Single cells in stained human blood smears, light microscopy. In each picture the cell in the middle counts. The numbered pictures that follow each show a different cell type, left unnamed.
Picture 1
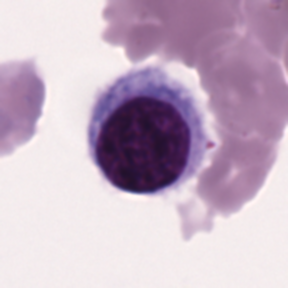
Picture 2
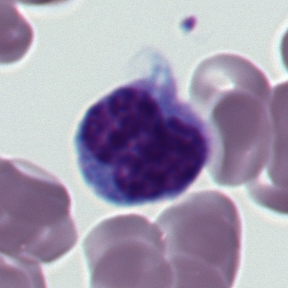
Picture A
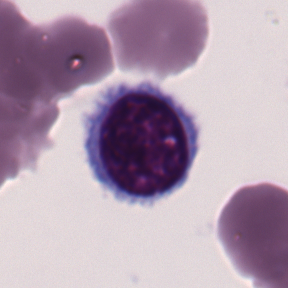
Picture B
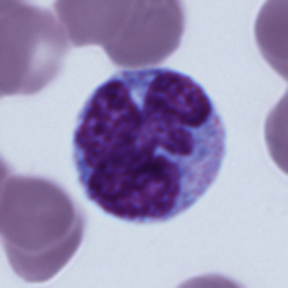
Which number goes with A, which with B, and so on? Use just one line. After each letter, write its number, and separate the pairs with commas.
A 1, B 2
